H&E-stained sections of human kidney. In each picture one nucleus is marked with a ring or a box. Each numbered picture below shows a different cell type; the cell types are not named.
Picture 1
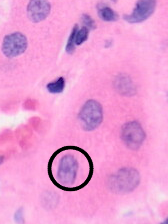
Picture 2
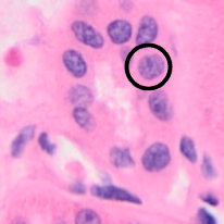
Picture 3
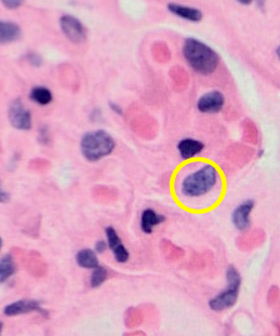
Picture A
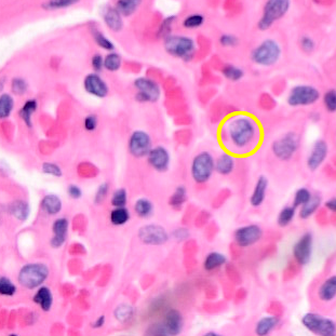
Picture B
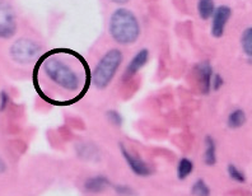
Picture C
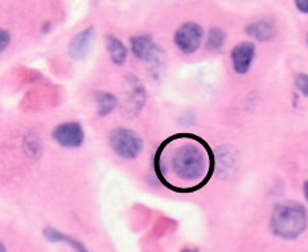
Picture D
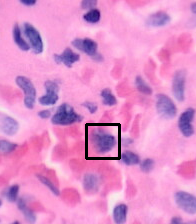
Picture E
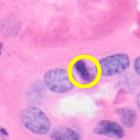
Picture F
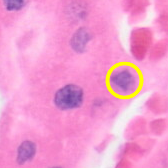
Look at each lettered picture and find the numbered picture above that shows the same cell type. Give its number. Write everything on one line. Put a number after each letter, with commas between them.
A 3, B 2, C 2, D 3, E 2, F 1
